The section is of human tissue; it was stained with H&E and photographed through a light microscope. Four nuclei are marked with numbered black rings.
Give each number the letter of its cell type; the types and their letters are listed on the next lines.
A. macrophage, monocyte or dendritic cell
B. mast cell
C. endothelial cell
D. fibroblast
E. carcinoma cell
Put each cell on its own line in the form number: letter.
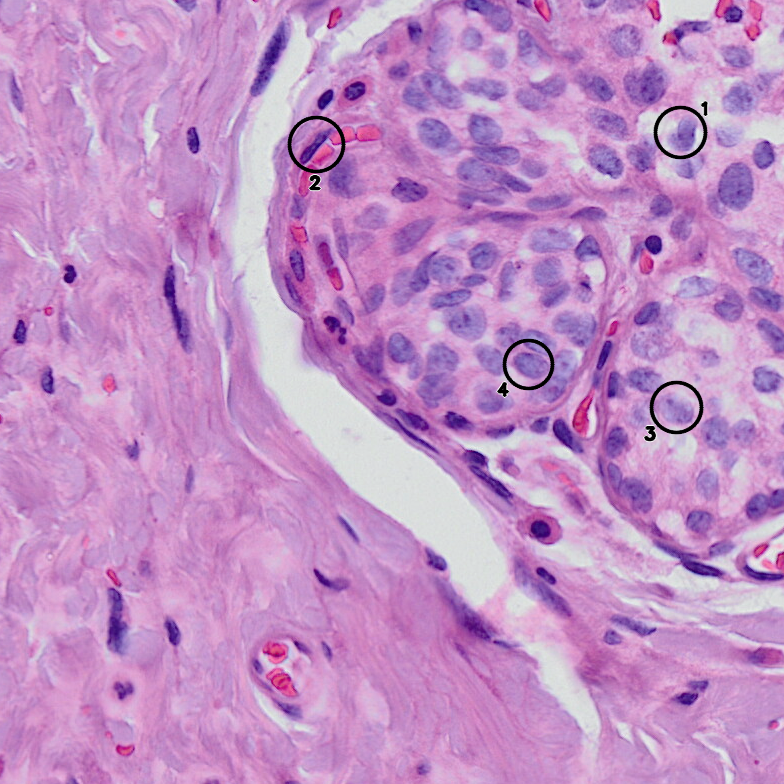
1: E
2: C
3: E
4: E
